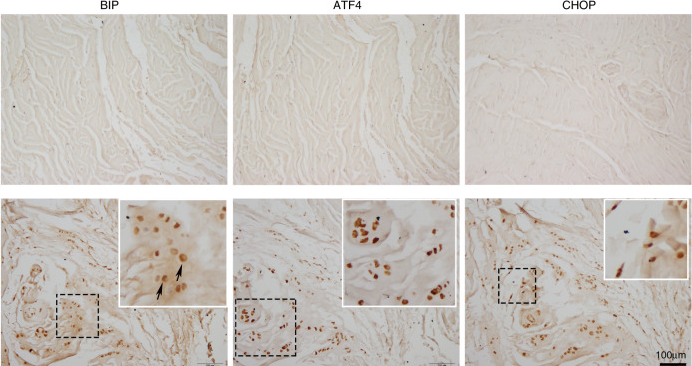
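These are sections of dense fibrous connective tissue, with wavy, pale bundles of fibres running through them. In the top row the tissue is sparse in cells and there is hardly any brown stain. In the bottom row the tissue holds many more cells, often gathered in clusters. Most of these cells are rounded and stained brown, and the enlarged insets show the stain in and around their nuclei.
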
